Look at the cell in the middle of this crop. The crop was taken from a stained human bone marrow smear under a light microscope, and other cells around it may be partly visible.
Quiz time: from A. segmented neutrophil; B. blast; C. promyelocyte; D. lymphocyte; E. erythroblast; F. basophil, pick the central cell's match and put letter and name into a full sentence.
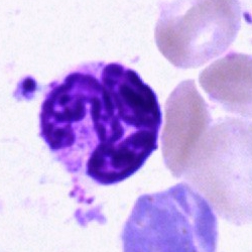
The correct identification, given in option A, is that the central cell is a segmented neutrophil.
